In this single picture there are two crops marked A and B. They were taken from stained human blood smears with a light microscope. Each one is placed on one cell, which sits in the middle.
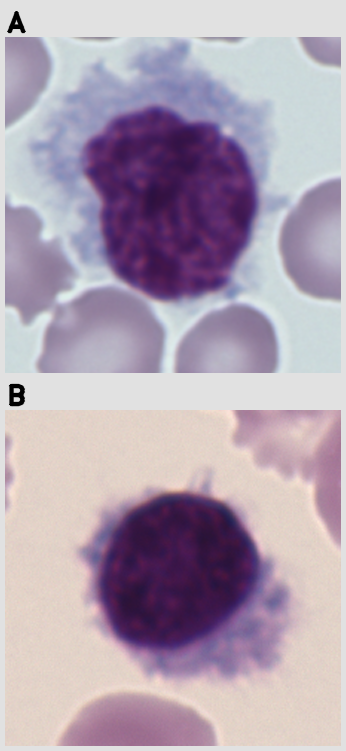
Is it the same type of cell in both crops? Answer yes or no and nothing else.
yes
